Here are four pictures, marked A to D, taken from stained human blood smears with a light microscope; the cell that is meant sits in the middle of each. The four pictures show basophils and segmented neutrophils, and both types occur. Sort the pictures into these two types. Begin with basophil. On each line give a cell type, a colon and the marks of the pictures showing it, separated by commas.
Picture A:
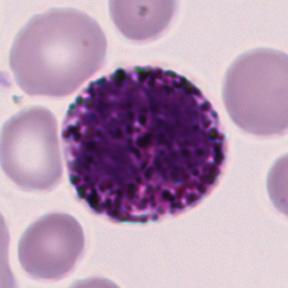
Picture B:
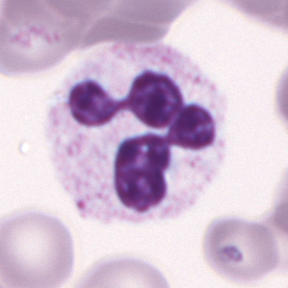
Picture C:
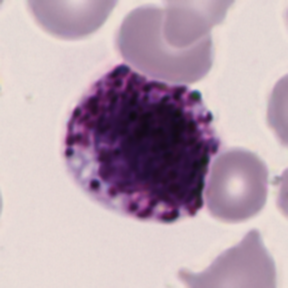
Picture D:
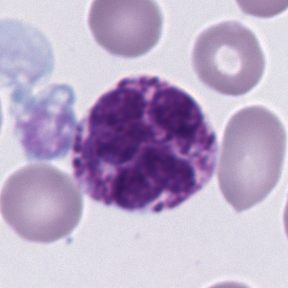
basophil: A, C, D
segmented neutrophil: B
